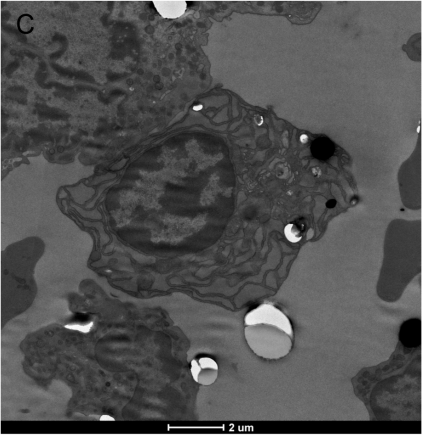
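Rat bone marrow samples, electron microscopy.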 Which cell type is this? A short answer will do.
Plasma cells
